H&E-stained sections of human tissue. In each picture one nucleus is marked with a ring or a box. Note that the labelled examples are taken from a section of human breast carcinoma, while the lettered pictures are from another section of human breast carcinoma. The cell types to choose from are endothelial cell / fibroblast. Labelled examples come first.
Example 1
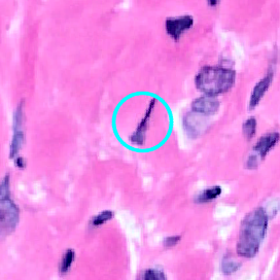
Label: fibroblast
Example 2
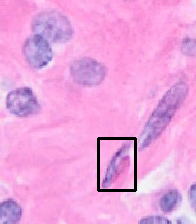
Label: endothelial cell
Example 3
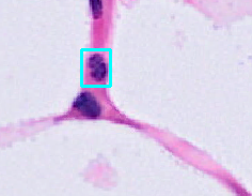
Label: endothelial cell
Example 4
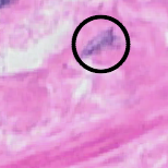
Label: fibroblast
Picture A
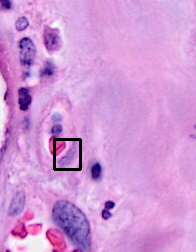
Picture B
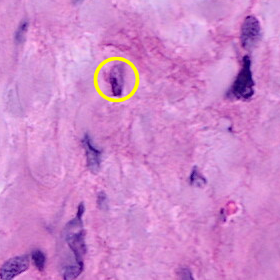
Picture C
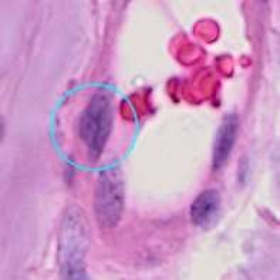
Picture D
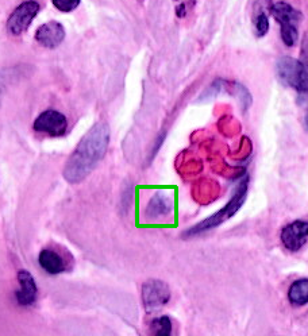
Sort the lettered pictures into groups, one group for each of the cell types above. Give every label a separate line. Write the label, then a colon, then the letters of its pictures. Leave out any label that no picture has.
endothelial cell: A, C, D
fibroblast: B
